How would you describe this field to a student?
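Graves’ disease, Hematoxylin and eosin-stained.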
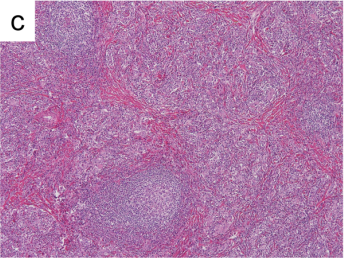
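This is thyroid tissue in which the follicles are small and crowded, with little colloid, making the parenchyma look solid and cellular. Bright pink wavy bands of fibrous tissue divide it into nests, and dense clusters of small dark inflammatory cells lie in the stroma, one forming a round aggregate.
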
